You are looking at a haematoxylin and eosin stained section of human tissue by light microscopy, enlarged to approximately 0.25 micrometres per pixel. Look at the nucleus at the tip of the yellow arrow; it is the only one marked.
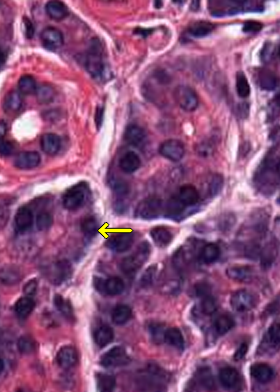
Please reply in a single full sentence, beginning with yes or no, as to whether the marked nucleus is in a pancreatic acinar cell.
Yes, what is marked here is the nucleus of a pancreatic acinar cell.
